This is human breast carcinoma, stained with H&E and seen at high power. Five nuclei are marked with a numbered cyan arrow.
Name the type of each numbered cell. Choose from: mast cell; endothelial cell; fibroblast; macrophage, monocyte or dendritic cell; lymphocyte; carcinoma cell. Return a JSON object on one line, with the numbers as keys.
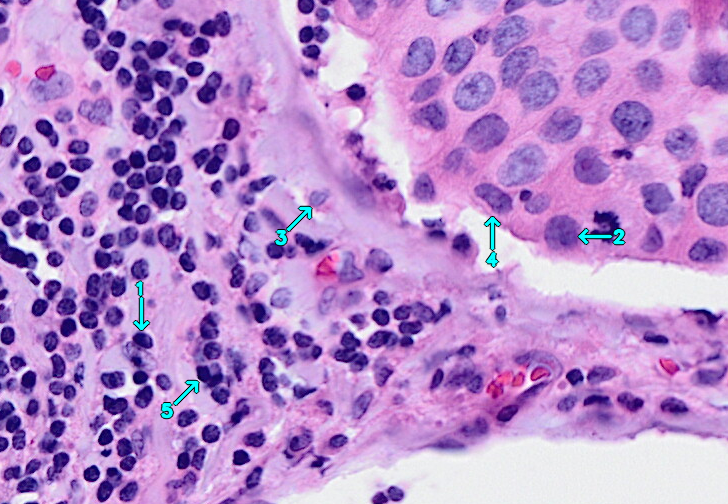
{"1": "lymphocyte", "2": "carcinoma cell", "3": "mast cell", "4": "carcinoma cell", "5": "lymphocyte"}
